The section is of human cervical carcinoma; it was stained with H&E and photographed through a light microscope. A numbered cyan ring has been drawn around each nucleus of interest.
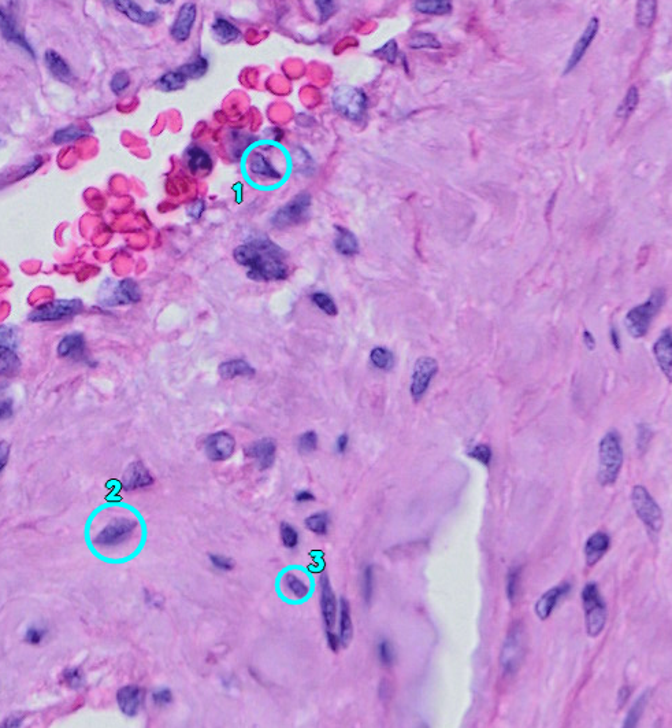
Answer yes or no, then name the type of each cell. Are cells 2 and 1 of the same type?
No, rather, cell 2 is a fibroblast and cell 1 is an endothelial cell.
